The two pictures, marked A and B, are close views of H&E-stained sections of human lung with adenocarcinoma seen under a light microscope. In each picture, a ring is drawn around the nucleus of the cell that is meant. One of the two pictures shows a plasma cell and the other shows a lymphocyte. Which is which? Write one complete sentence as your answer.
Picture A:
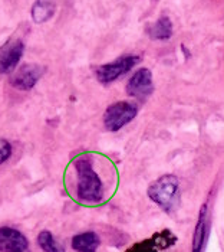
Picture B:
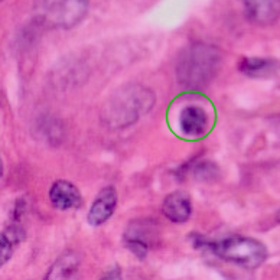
The cell in picture A is a plasma cell, and the one in picture B is a lymphocyte.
